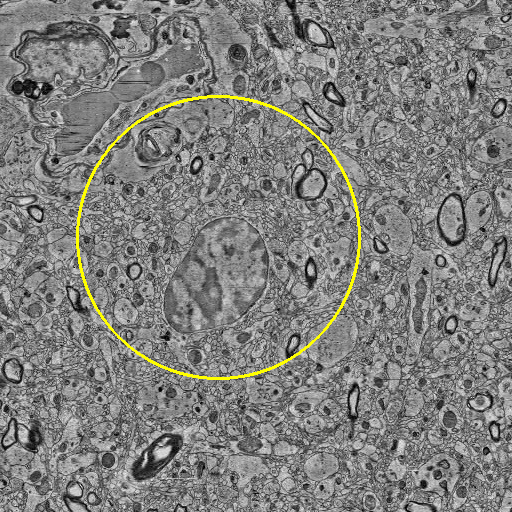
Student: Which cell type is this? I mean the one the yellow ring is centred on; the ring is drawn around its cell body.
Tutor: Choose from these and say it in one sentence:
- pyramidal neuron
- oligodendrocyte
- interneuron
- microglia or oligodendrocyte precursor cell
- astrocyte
The cell the ring is centred on is a microglial cell or oligodendrocyte precursor cell.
